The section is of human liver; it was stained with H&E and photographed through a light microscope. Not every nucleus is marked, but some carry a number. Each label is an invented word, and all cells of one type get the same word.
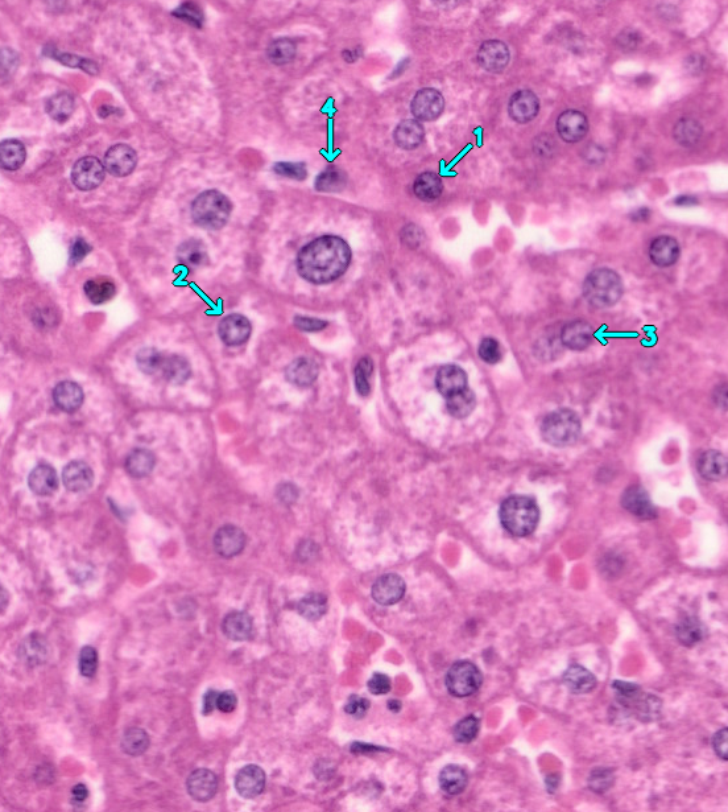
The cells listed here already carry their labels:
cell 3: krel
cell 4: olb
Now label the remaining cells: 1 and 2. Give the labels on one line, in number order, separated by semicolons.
krel; krel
